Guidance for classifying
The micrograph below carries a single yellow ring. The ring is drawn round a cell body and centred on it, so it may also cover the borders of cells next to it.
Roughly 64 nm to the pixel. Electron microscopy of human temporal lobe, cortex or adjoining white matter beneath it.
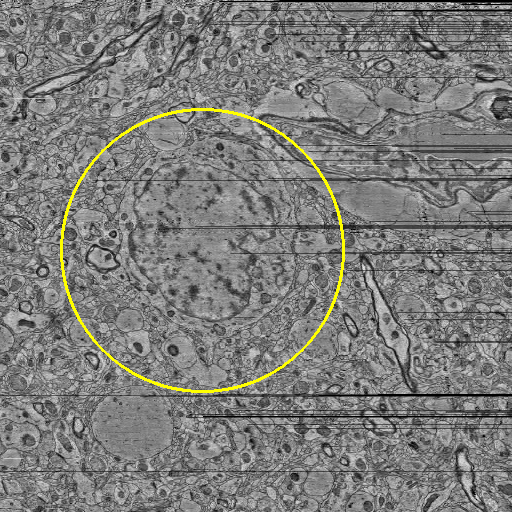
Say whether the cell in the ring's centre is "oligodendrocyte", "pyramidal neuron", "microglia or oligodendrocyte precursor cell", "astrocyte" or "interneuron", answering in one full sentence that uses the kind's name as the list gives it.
Within the yellow ring, an interneuron is the cell whose body sits at the centre.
